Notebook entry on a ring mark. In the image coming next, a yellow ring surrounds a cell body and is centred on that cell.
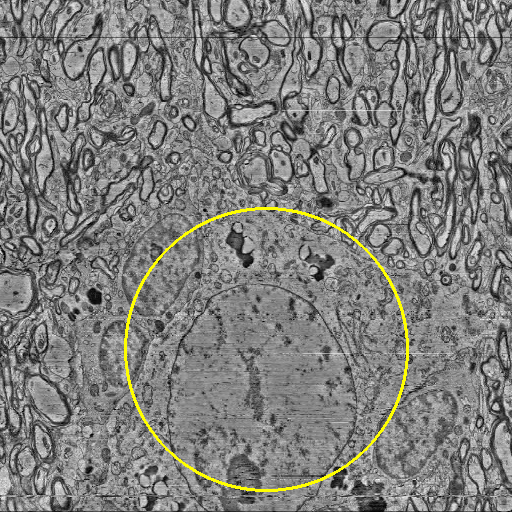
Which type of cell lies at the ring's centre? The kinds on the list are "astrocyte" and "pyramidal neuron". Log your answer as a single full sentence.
Centred in the yellow ring is a pyramidal neuron, the cell recorded for this image.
